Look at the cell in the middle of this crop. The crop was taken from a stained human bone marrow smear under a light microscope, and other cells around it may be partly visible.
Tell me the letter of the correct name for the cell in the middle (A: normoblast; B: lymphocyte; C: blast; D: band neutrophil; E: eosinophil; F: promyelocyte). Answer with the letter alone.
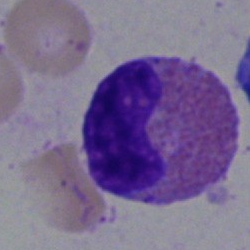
E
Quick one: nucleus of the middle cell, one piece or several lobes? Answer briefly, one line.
In this cell the nucleus is a solitary compact mass, round, oval or kidney-shaped.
